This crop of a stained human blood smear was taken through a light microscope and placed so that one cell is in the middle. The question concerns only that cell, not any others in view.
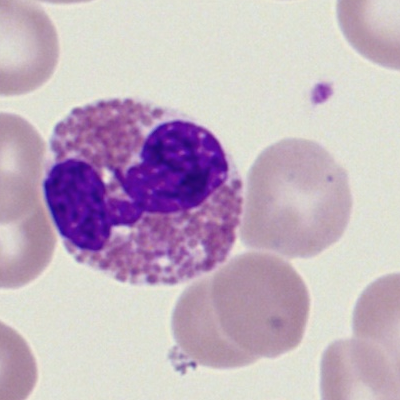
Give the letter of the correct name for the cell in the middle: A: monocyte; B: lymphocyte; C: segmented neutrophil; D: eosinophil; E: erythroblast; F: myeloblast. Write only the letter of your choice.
D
